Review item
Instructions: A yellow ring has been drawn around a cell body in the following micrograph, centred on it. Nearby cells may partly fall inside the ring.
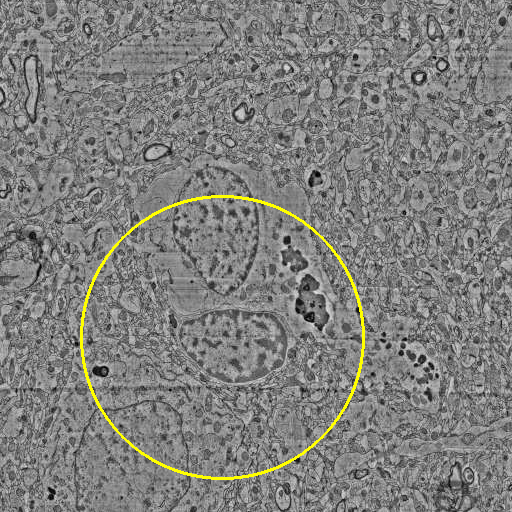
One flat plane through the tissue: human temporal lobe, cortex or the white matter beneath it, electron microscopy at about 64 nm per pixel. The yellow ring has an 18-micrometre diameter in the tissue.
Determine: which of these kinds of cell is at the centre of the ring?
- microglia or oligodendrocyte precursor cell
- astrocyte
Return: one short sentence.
The cell body in the middle of the ring is that of a microglial cell or oligodendrocyte precursor cell.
